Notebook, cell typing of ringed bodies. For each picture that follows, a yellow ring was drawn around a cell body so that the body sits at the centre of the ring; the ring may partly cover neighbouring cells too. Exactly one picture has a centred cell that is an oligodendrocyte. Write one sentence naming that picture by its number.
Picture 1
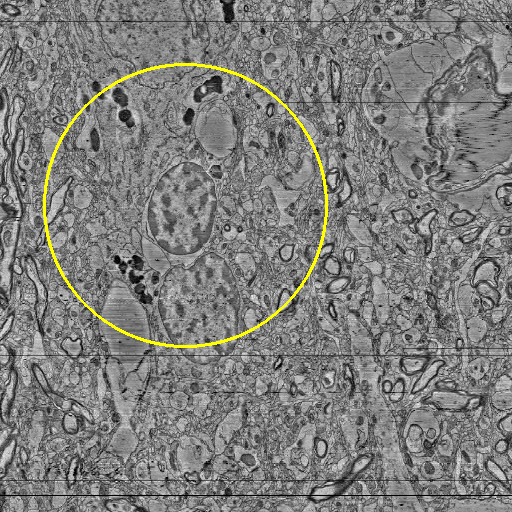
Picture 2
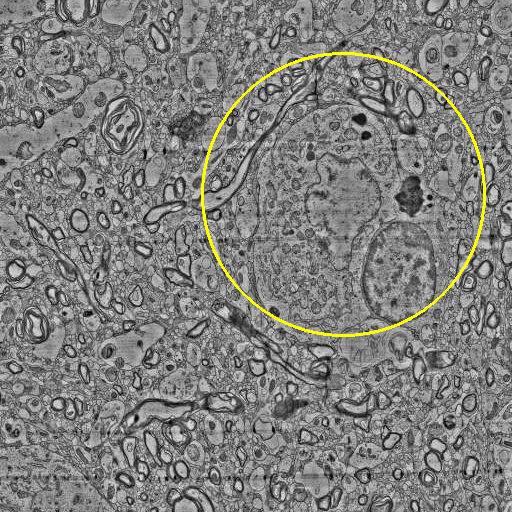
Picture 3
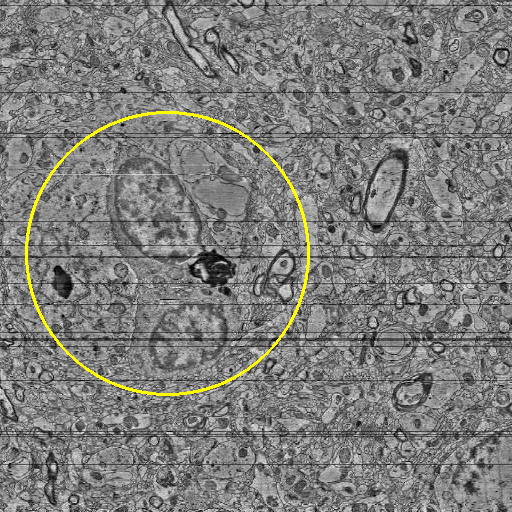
Picture 3 is the one with it at the centre of its ring.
